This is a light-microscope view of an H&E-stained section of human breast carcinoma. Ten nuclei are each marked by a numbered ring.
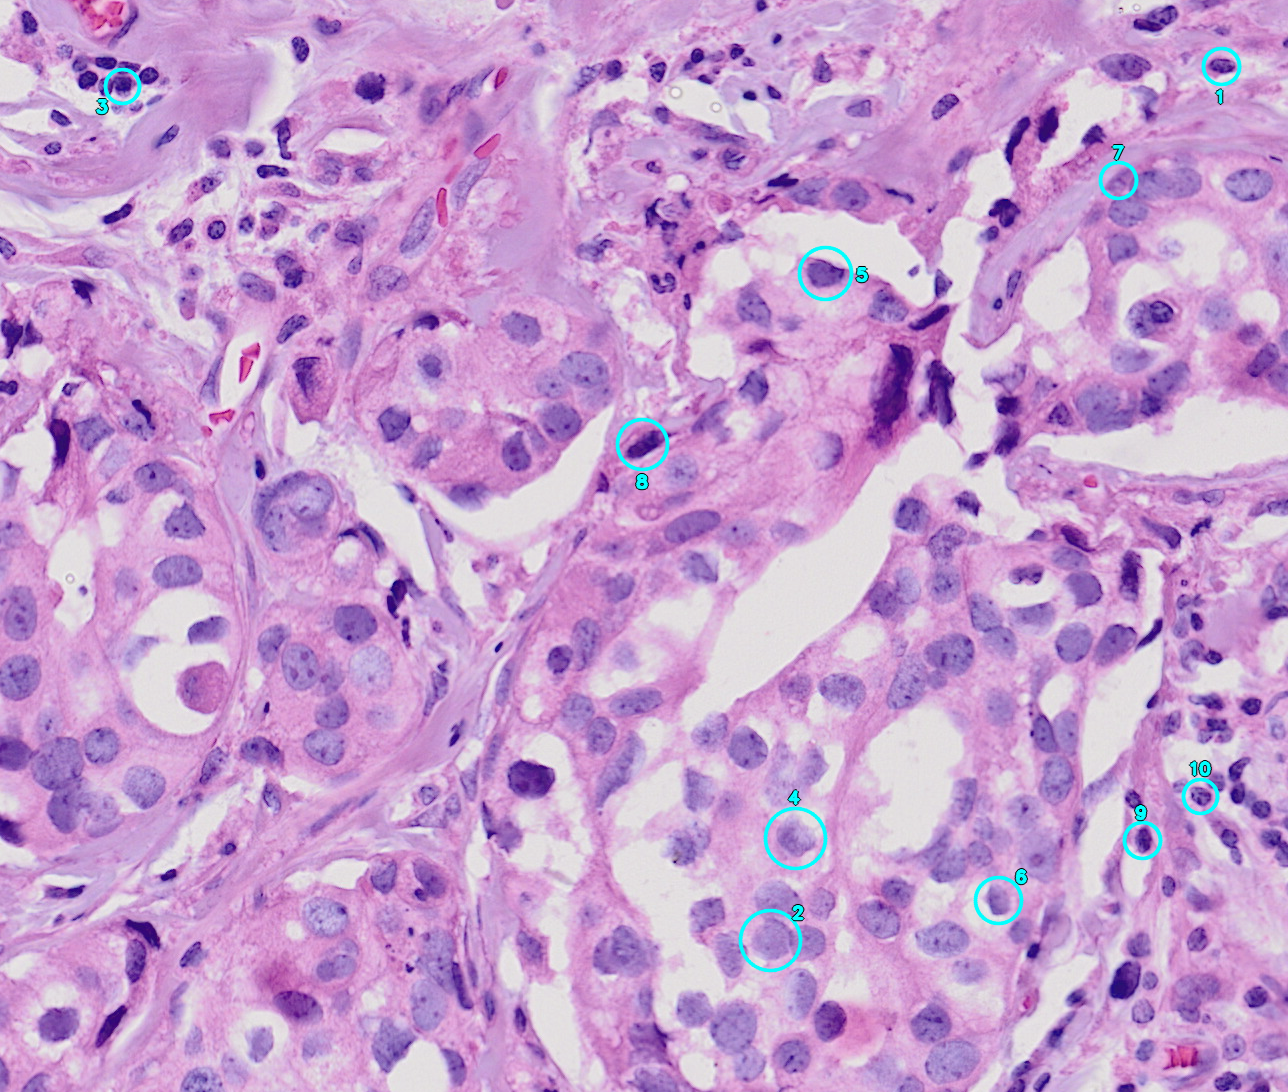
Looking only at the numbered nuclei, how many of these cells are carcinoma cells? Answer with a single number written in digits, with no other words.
6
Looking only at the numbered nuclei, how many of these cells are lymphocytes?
3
